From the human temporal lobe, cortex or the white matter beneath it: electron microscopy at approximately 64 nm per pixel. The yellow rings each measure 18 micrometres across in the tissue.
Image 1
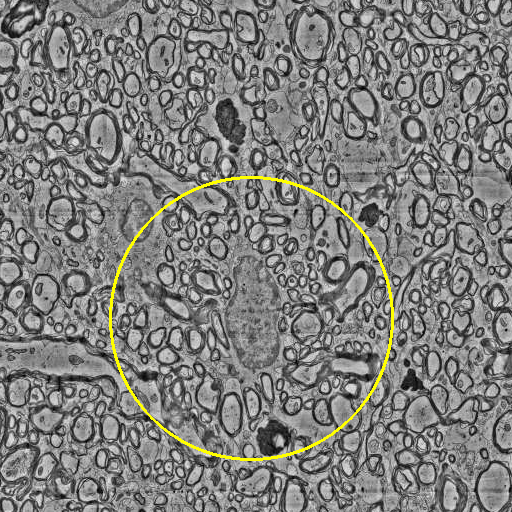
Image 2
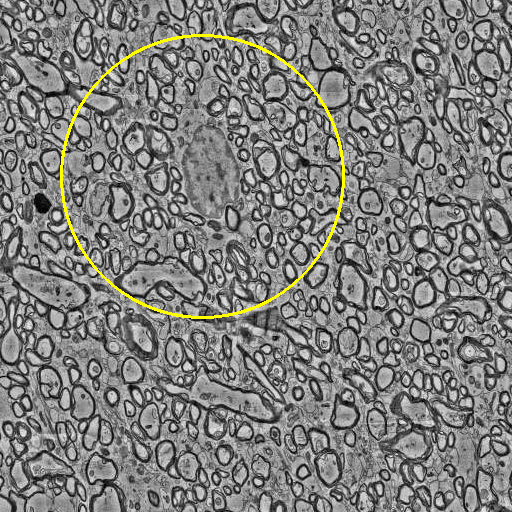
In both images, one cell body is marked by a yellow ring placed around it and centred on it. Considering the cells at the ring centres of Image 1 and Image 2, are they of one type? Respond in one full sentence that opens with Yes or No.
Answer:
Yes, a single type applies to the ring-centred cells of both Image 1 and Image 2.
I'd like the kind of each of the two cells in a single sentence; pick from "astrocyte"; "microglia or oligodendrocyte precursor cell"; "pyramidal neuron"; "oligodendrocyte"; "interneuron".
The first and the second cell are each an oligodendrocyte.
